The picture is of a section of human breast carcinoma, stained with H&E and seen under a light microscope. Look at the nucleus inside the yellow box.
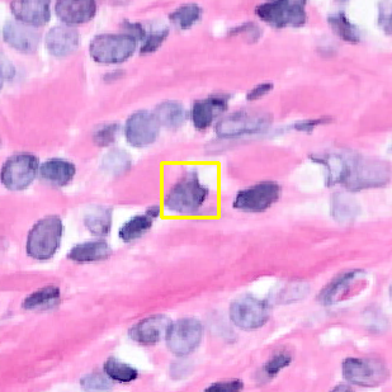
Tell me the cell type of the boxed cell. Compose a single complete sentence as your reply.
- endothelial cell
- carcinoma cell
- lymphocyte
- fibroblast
In this tissue section, the boxed cell is to be classed as a carcinoma cell.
